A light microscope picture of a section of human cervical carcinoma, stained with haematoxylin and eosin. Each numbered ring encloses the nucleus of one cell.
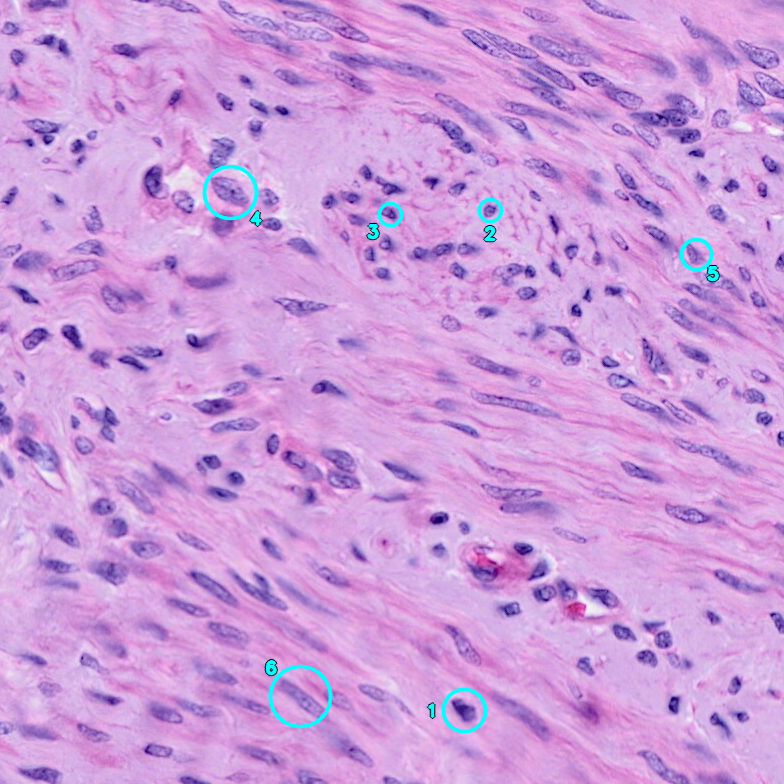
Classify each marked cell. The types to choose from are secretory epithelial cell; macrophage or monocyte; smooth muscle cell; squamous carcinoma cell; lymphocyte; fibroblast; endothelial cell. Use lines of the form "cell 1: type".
cell 1: lymphocyte
cell 2: smooth muscle cell
cell 3: smooth muscle cell
cell 4: endothelial cell
cell 5: smooth muscle cell
cell 6: smooth muscle cell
